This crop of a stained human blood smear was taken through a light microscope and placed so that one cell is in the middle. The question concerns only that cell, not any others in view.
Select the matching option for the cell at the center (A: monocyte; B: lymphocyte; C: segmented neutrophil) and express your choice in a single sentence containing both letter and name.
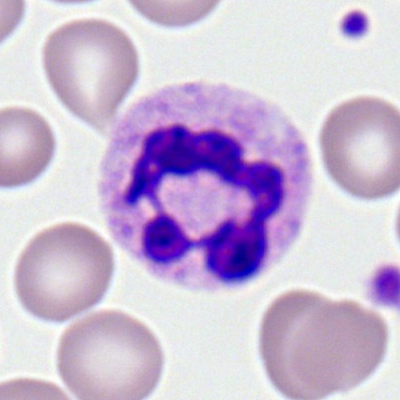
The cell in the middle is a segmented neutrophil, and that makes option C correct.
